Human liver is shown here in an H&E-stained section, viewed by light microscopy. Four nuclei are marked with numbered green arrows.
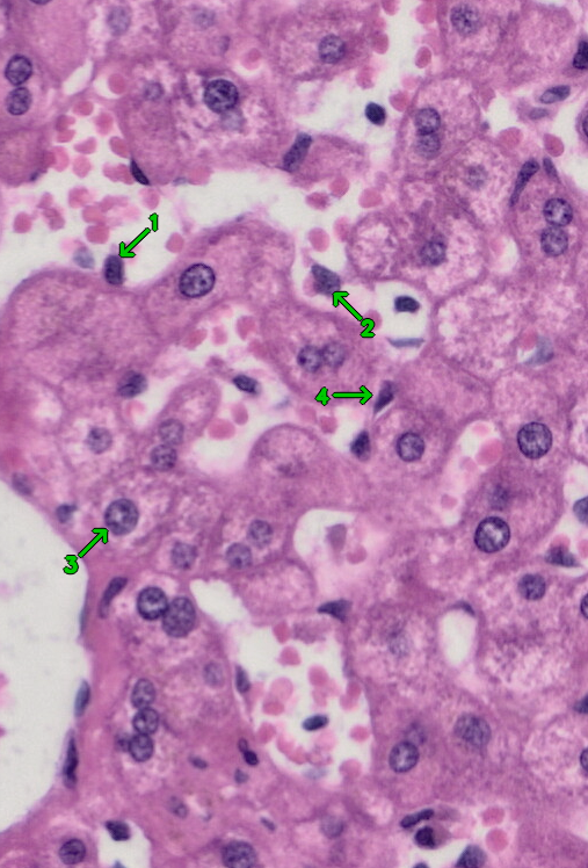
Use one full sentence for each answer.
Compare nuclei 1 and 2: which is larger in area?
Nucleus 2 is the larger one, covering about 1.5 times the area of nucleus 1.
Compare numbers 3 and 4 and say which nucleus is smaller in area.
It is nucleus 4; nucleus 3 has about 2 times its area.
